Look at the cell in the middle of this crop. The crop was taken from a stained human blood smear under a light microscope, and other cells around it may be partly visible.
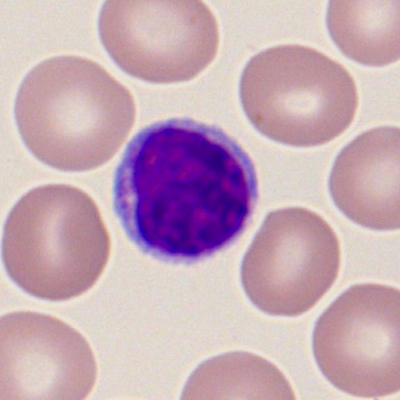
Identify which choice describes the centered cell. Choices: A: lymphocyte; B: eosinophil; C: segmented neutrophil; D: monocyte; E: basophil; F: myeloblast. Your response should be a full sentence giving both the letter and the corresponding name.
Here the right option is A, as the cell in the middle is a lymphocyte.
